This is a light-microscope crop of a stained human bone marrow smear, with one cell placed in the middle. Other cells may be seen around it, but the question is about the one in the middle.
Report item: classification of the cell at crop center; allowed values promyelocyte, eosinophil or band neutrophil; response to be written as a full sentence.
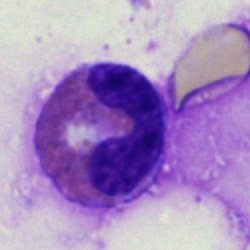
Here the cell in the middle is an eosinophil.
